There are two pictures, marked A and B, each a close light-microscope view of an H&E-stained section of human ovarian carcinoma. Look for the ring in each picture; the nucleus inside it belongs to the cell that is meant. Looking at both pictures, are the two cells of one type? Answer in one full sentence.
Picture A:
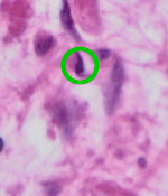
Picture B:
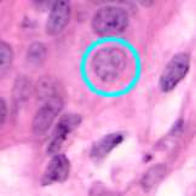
No. Picture A shows a fibroblast, but picture B shows a carcinoma cell.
